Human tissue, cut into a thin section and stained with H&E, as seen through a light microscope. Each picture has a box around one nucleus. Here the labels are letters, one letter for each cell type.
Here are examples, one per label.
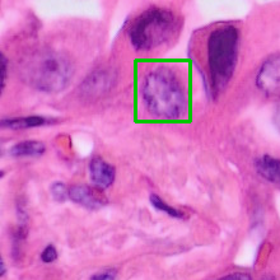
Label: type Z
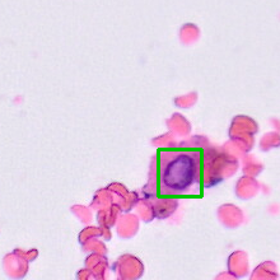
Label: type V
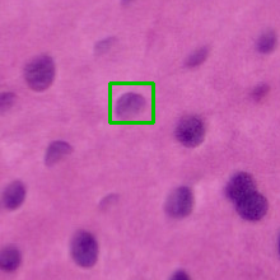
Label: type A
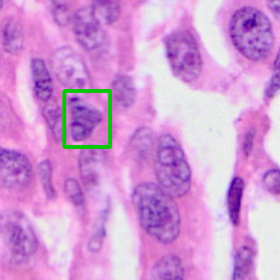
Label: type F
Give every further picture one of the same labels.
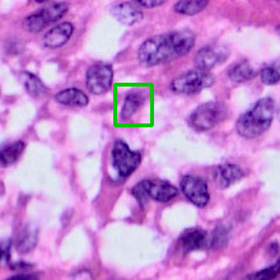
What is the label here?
type F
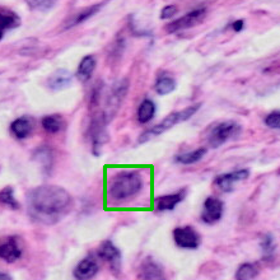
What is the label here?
type V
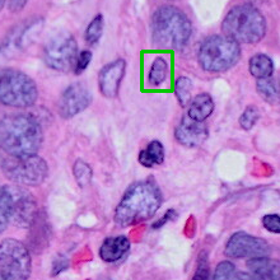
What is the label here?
type V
